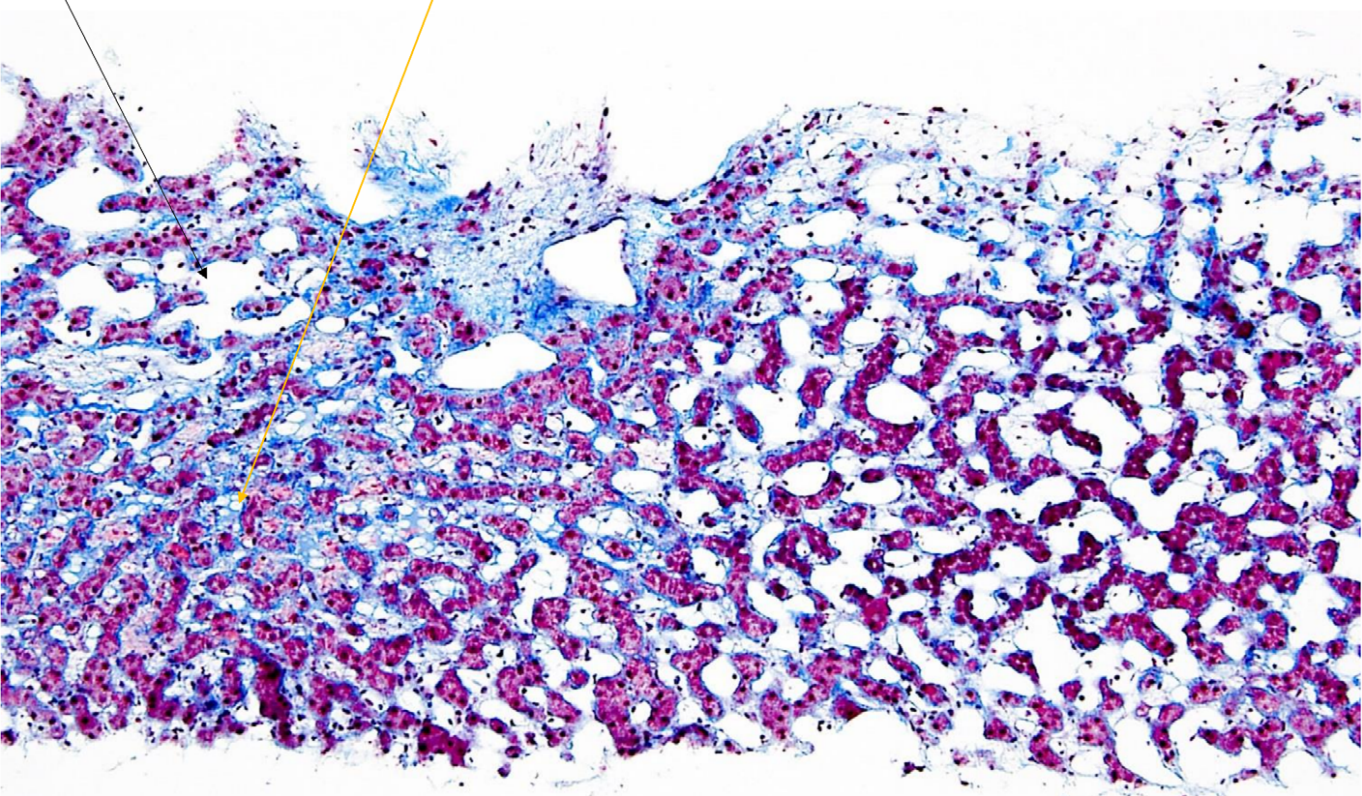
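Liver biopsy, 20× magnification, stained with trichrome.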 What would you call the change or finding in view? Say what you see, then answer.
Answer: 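Blue fibres run along the spaces between the liver cell plates across the section. The fibrous material is heaviest in the upper middle of the section.
Answer: perisinusoidal fibrosis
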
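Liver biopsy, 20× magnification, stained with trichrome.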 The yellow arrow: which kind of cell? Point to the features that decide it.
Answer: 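The yellow arrow ends at a cluster of small, round, clear vacuoles lying between the liver cell plates. The vacuoles sit within blue-stained fibrous tissue rather than inside the purple liver cells. So: stellate cells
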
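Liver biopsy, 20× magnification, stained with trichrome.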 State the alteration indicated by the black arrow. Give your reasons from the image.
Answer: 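The black arrow ends in wide, empty, irregular spaces between the plates of liver cells. These spaces are much wider than the cell plates that border them.
Conclusion: dilation of the sinusoids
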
